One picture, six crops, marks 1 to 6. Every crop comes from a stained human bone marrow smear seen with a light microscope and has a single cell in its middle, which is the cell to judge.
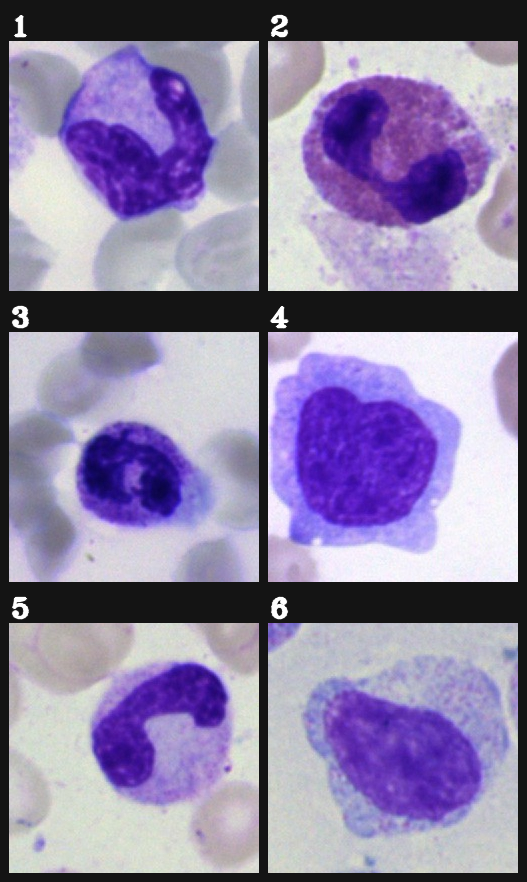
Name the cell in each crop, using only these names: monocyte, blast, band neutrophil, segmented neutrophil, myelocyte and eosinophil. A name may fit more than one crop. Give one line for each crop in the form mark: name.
1: monocyte
2: eosinophil
3: segmented neutrophil
4: monocyte
5: band neutrophil
6: myelocyte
